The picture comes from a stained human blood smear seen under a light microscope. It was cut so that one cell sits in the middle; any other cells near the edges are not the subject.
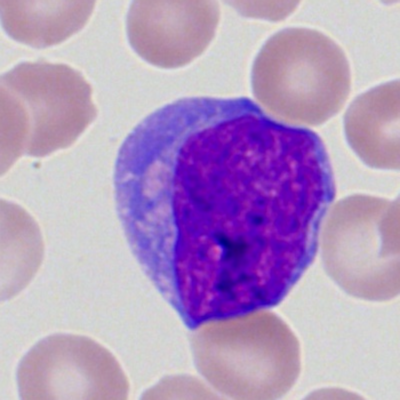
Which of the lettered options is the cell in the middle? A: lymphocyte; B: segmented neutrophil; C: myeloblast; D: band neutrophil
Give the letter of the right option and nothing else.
C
